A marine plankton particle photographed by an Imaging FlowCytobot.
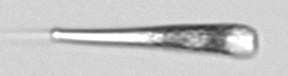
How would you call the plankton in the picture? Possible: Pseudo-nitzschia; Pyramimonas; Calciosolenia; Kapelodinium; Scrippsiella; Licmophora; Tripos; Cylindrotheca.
I would call it Licmophora.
